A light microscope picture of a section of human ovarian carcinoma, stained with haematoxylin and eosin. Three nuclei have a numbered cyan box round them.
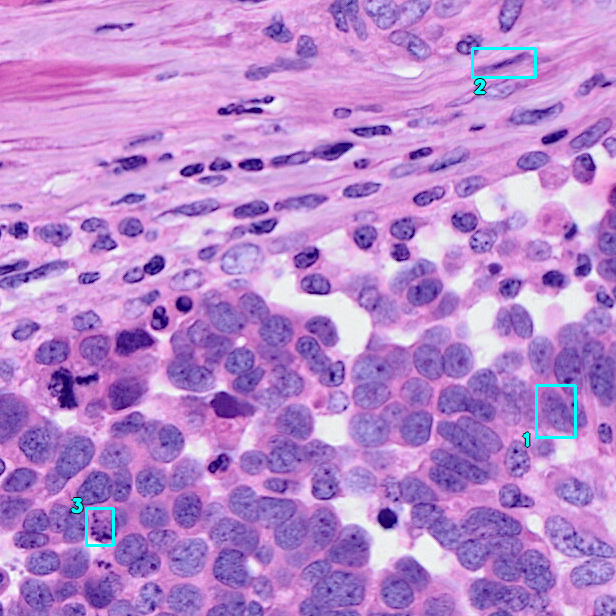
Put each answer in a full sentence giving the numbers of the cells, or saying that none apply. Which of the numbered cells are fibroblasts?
Cell 2 is the one numbered cell that is a fibroblast.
